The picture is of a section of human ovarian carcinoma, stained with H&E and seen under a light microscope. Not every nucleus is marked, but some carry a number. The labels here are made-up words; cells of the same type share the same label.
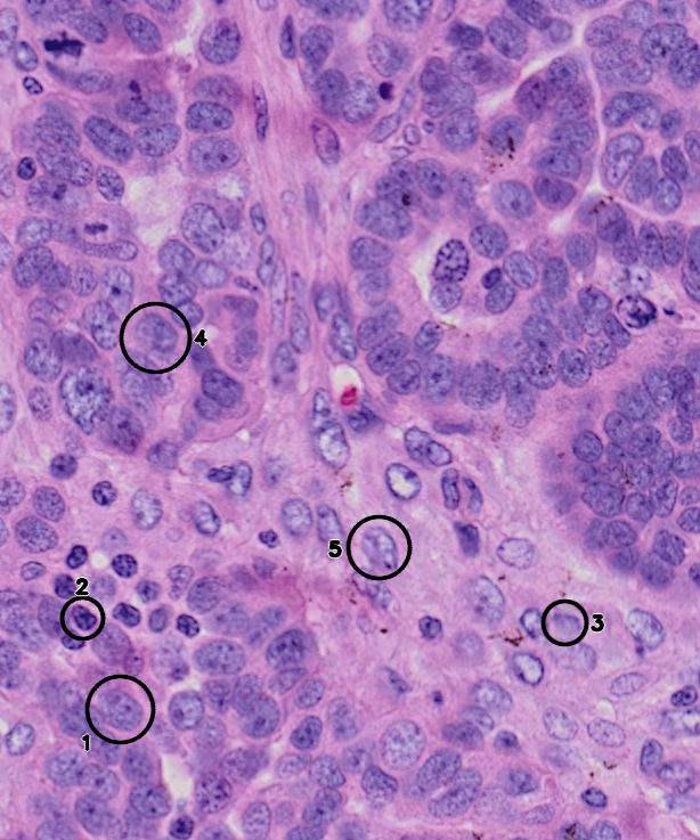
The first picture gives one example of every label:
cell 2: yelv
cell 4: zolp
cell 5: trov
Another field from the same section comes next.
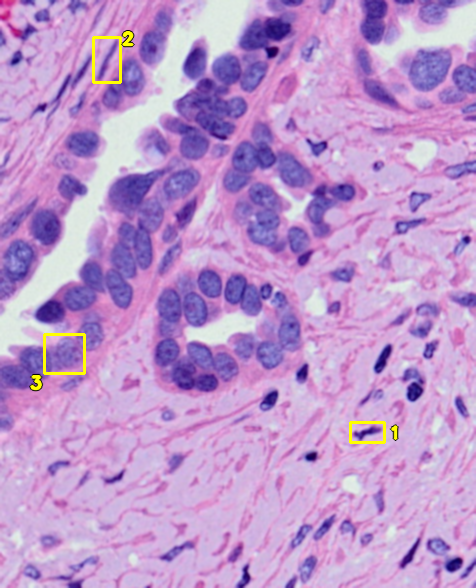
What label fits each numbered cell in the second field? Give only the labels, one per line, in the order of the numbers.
trov
trov
zolp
